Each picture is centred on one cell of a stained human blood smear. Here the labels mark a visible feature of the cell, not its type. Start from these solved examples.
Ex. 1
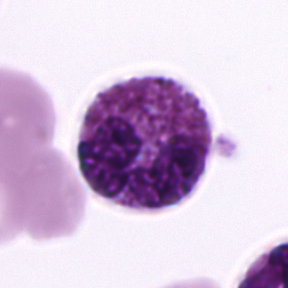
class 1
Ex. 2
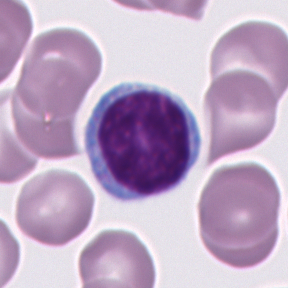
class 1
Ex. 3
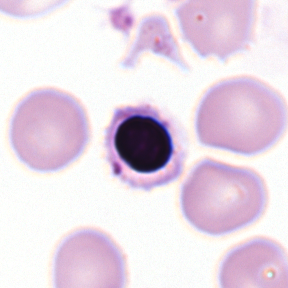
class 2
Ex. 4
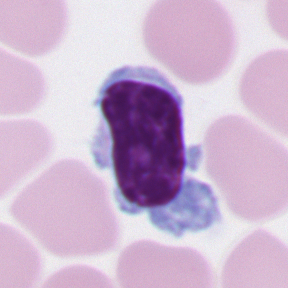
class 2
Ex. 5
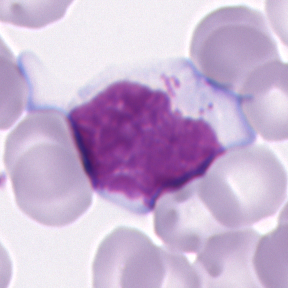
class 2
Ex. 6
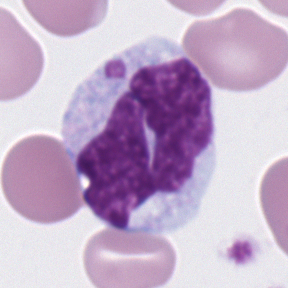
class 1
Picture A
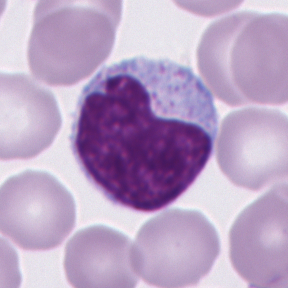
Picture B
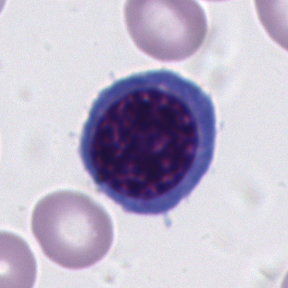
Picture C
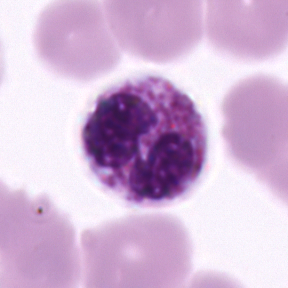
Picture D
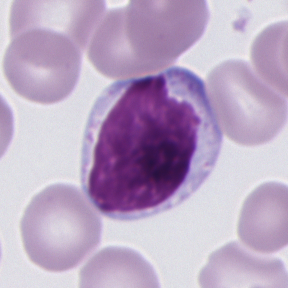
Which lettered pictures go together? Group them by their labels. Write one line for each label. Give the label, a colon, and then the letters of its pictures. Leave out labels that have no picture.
class 1: C, D
class 2: A, B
